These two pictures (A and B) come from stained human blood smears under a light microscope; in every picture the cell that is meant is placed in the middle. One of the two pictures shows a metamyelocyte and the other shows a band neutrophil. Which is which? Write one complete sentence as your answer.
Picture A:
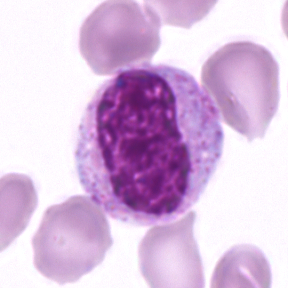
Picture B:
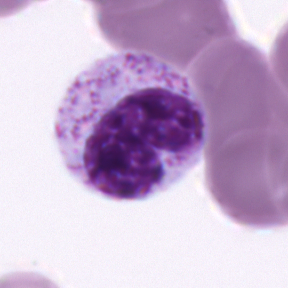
It is picture A that shows a metamyelocyte, and picture B that shows a band neutrophil.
